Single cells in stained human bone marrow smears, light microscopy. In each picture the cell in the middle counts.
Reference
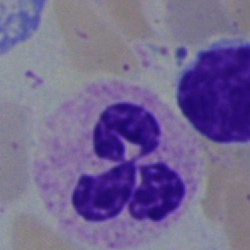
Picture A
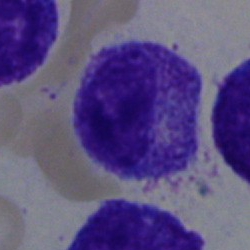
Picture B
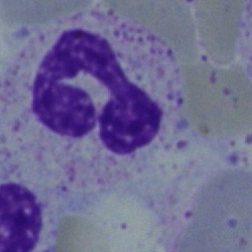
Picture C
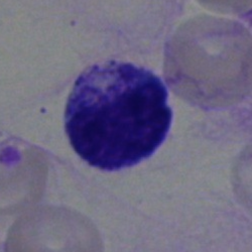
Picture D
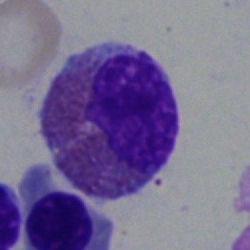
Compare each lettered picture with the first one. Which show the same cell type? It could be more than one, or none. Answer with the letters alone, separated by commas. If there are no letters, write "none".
B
